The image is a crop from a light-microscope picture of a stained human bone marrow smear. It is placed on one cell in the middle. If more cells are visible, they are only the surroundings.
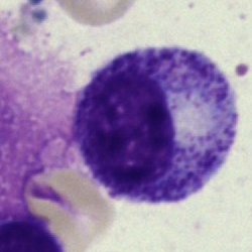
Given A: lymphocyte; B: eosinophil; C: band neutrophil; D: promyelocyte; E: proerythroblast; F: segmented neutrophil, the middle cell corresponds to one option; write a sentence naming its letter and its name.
The centrally located cell is a promyelocyte, making option D the correct choice.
